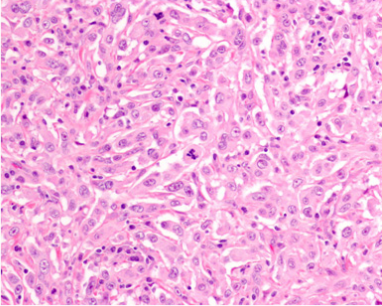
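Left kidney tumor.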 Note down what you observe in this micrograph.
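Solid sheet of atypical tumour cells, many elongated and spindle-shaped, with abundant pink cytoplasm. Nuclei are large, irregular and vesicular with prominent nucleoli, and several dark mitotic figures are scattered among the cells. No glands or organised architecture are seen.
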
